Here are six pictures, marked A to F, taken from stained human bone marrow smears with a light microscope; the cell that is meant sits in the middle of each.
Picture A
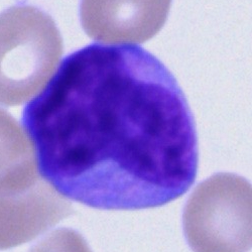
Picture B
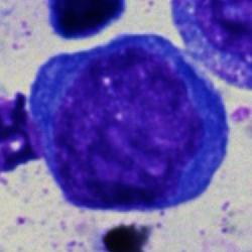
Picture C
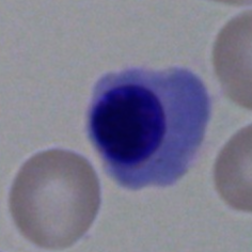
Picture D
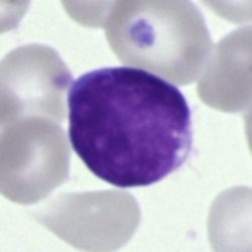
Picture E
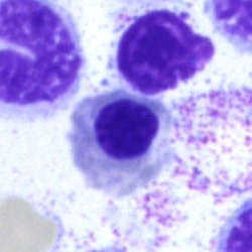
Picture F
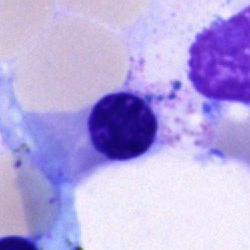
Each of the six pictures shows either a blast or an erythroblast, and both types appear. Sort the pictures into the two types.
A: blast
B: blast
C: erythroblast
D: blast
E: erythroblast
F: erythroblast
